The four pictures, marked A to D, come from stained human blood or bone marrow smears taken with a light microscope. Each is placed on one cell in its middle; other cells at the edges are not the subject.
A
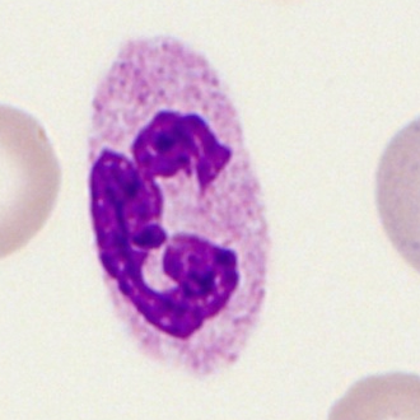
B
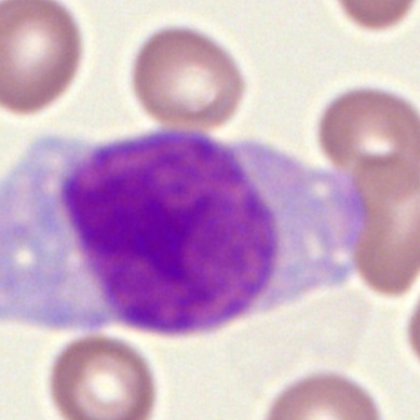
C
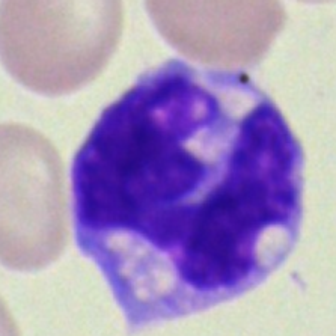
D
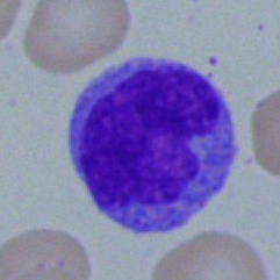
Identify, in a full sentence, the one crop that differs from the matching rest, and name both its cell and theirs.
The pattern of monocytes across the crops is broken only by crop A, which shows a segmented neutrophil.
